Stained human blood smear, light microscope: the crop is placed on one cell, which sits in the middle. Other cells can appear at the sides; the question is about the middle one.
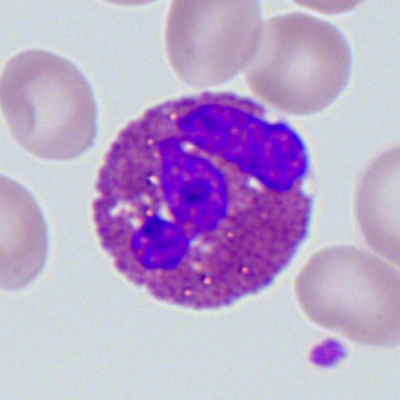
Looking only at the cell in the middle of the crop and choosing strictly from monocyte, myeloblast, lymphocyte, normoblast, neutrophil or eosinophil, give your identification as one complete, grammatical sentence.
The cell occupying the middle of the crop is an eosinophil.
